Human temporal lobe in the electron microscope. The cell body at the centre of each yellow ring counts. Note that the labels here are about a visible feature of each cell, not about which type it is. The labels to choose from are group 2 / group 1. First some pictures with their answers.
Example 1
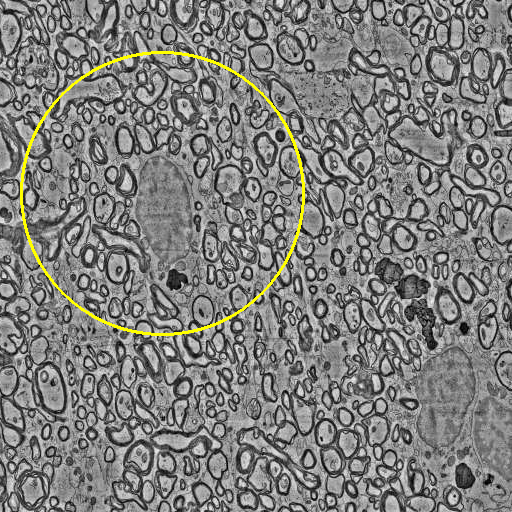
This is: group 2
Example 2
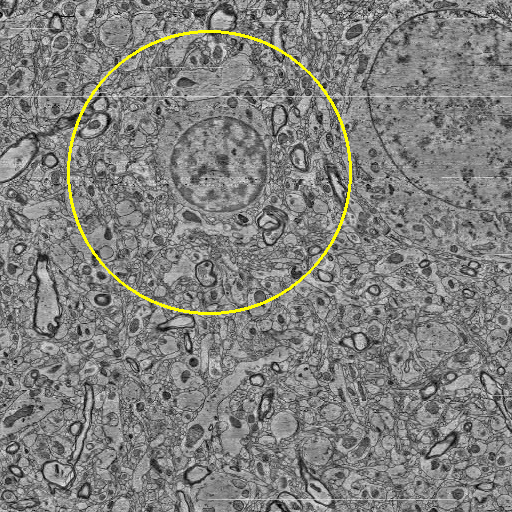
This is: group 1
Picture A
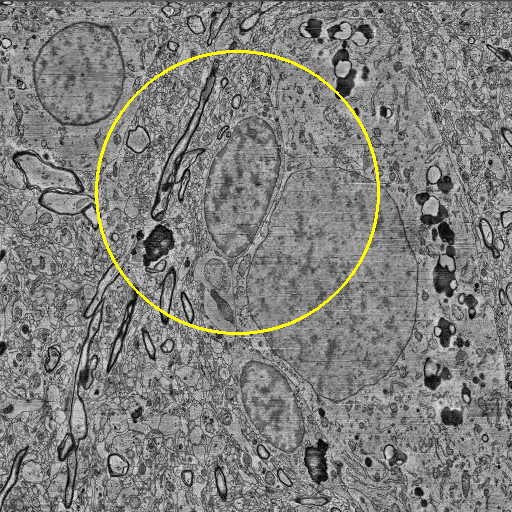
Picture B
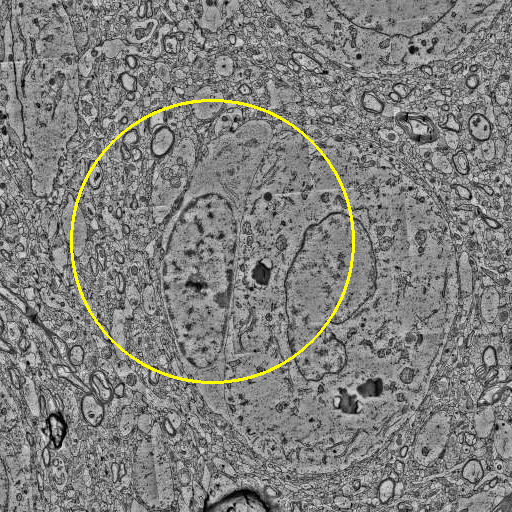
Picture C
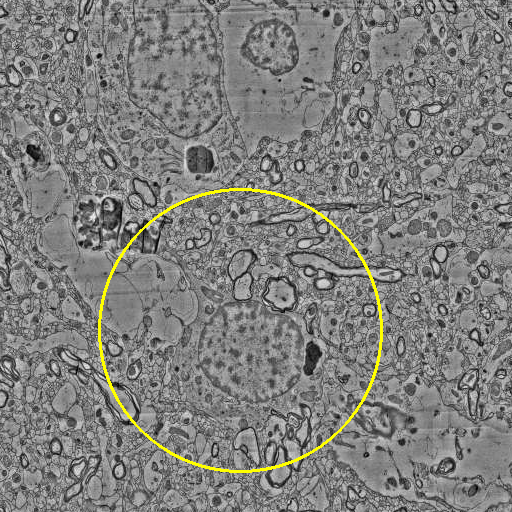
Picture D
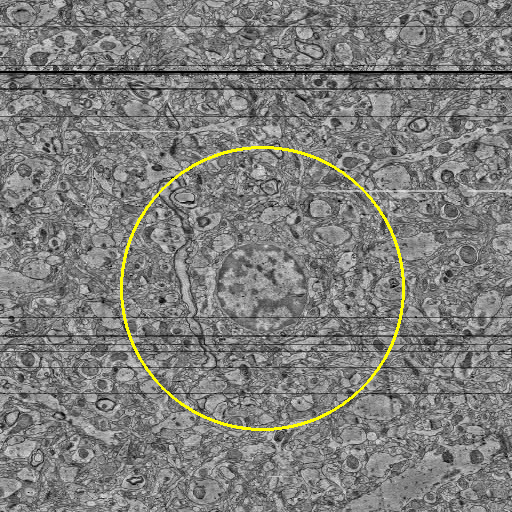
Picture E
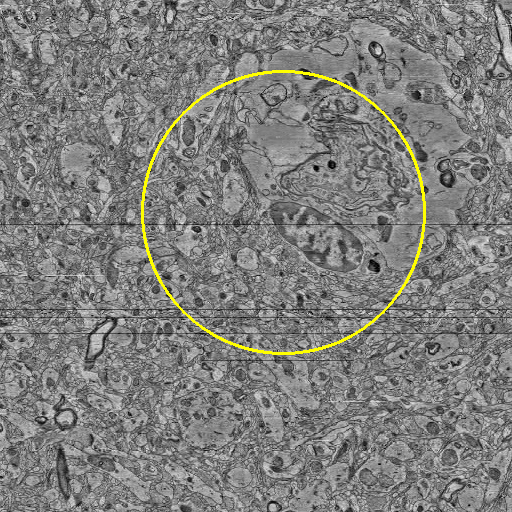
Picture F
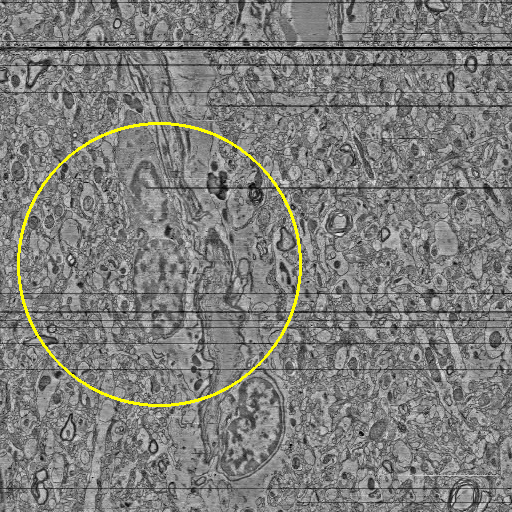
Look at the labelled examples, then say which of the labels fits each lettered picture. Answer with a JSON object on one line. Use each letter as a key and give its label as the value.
{"A": "group 2", "B": "group 2", "C": "group 1", "D": "group 1", "E": "group 2", "F": "group 2"}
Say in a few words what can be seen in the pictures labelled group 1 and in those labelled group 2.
In group 1: round or nearly round nuclei. In group 2: clearly elongated nuclei.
